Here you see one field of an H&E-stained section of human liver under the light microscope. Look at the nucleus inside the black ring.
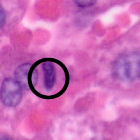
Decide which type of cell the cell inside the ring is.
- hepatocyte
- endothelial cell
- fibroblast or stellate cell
fibroblast or stellate cell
